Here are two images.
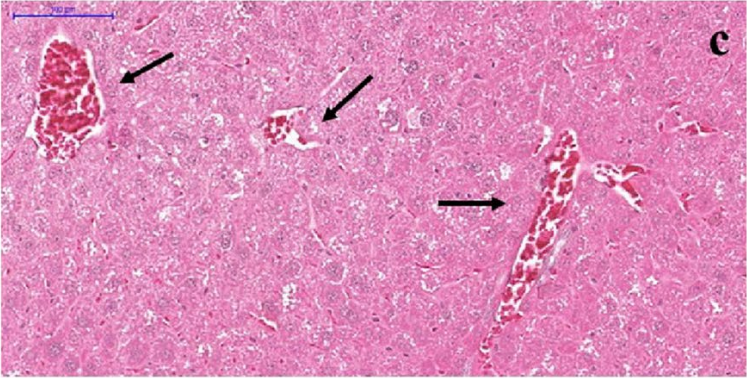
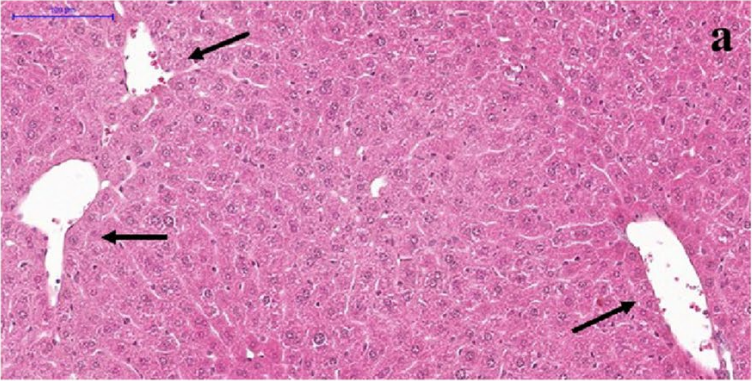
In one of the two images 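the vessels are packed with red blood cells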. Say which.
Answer: the first image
